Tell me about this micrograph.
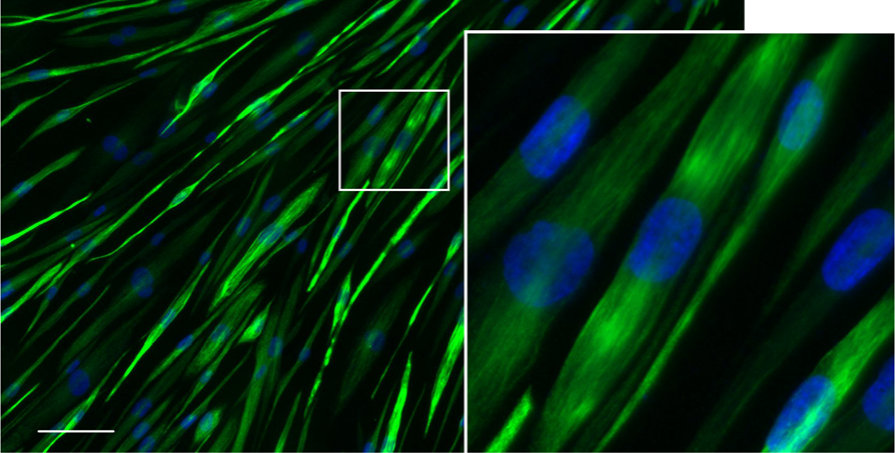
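Oval blue nuclei lie within the cell bodies, some in a row along a cell. The green intensity varies from cell to cell, with thin bright cells alongside broader, fainter ones. The enlarged inset shows several broad, parallel cells with large oval nuclei; the green cytoplasm has a fine fibrillar texture running along the cells' length and is brighter around the nuclei.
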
